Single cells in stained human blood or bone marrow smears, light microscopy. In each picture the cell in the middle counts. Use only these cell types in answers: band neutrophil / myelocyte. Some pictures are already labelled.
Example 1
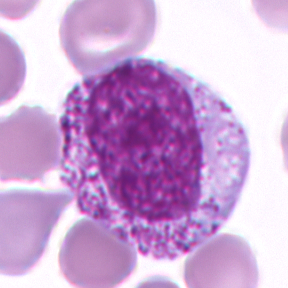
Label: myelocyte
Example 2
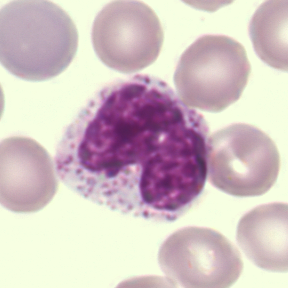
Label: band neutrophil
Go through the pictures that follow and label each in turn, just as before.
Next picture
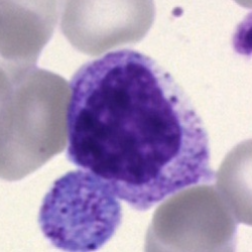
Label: myelocyte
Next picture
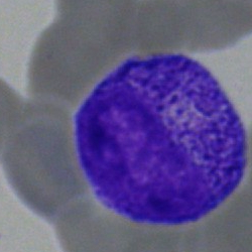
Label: myelocyte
